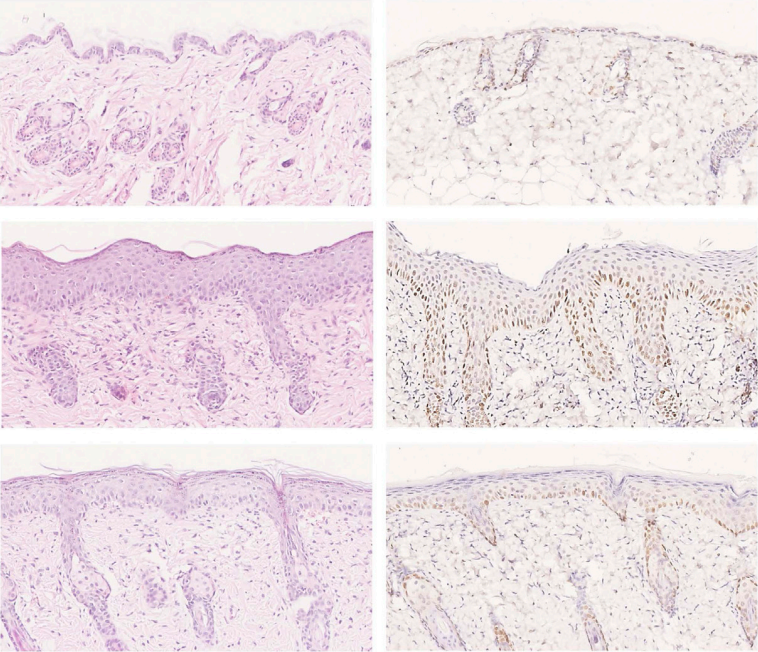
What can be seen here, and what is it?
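These are six sections of skin set out as three pairs, each showing the surface epidermis over a pale, loosely fibrous dermis that holds rounded clusters of cells cut across hair follicles and glands. The pink-and-purple sections on the left show the epidermis clearly. In the top pair it is only a thin line a few cells deep. In the middle pair it is much thicker, with many packed layers of purple nuclei and downward projections into the dermis. The bottom pair is in between. On the right, brown nuclei are scattered through the lower layers of the thickened epidermis, and there are few of them in the thin one.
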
